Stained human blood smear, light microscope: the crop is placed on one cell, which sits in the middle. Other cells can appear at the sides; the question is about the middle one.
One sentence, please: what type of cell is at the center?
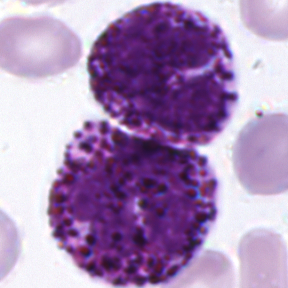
The center cell of this crop is a basophil.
